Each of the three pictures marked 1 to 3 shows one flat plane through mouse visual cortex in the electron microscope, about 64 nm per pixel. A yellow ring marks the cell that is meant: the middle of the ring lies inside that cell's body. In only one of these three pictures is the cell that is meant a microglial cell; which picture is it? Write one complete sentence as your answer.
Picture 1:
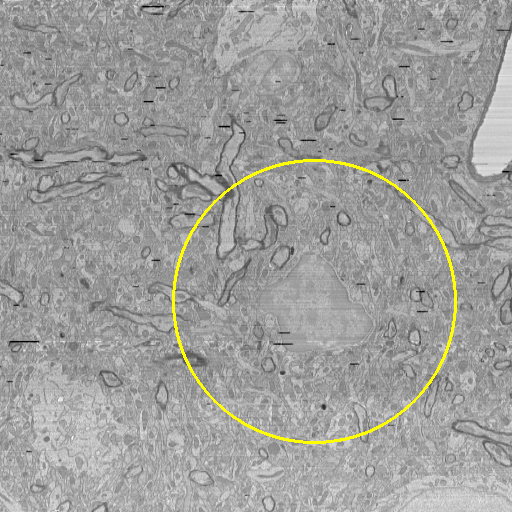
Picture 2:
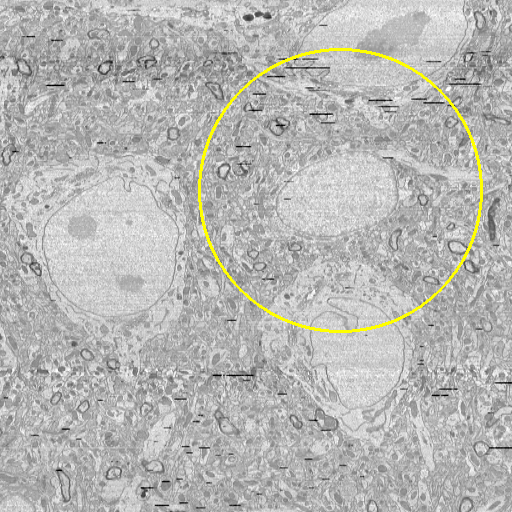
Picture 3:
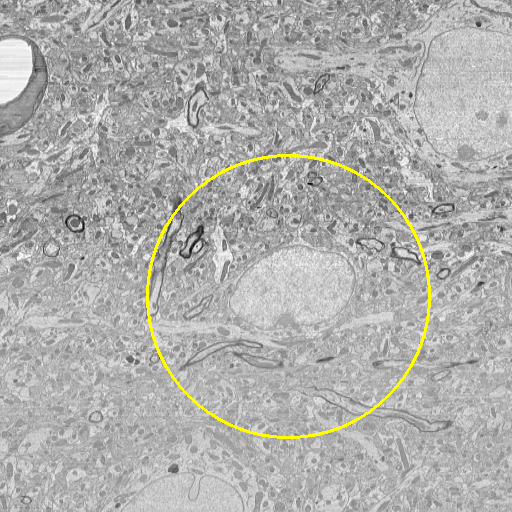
The cell in picture 1 is the microglial cell.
